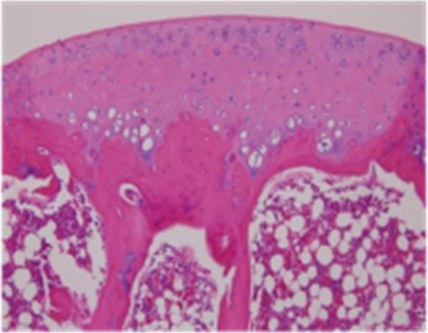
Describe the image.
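The upper part is a thick, evenly pale pink cartilage layer with a smooth surface, in which small chondrocytes lie singly and flattened near the surface and become rounder and more widely spaced deeper down. Near the junction with bone, larger rounded chondrocytes sit in clear lacunae, some in small groups. Below, deep pink bone forms trabeculae that bulge up into the base of the cartilage. Between the trabeculae the marrow spaces are filled with many round clear fat vacuoles and densely packed purple blood-forming cells.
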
